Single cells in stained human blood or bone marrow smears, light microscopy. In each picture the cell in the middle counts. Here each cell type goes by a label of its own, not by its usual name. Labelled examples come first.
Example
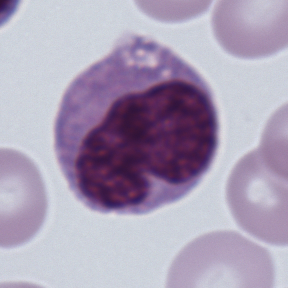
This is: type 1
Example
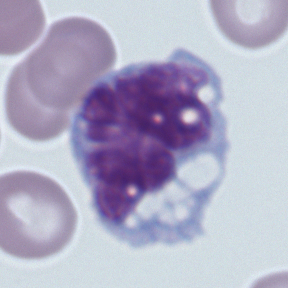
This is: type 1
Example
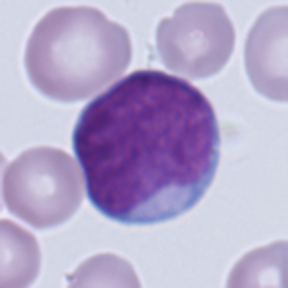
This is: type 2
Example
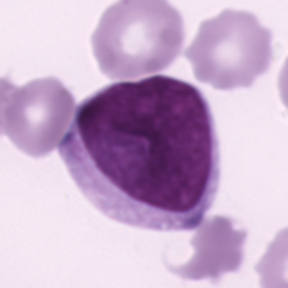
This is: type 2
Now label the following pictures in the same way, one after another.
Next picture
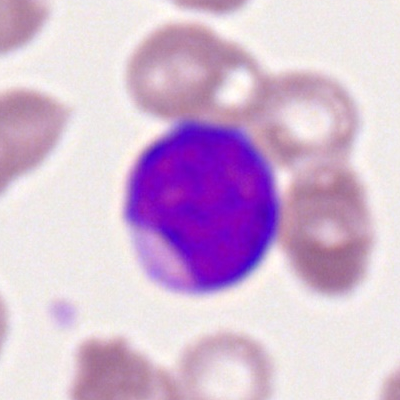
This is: type 2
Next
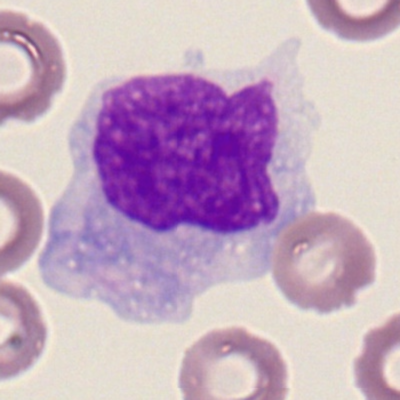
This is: type 1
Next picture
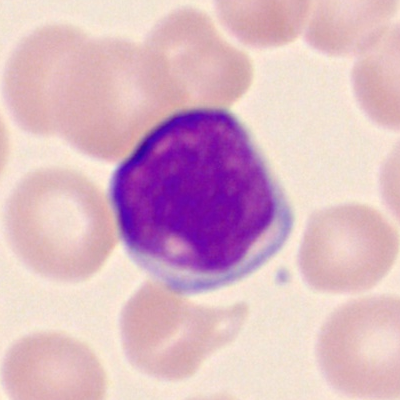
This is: type 2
